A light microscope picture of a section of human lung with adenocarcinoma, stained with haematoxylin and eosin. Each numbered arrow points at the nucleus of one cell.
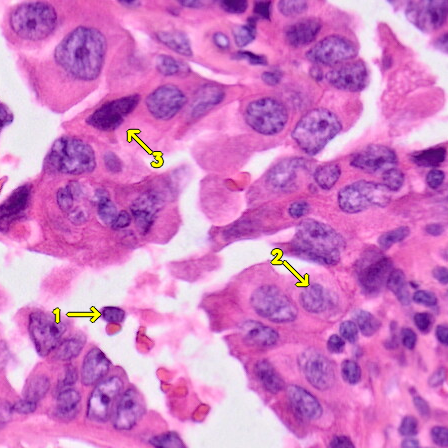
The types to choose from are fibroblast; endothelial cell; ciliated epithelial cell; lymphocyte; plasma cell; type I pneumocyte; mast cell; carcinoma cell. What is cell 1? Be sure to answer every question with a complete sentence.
Marked with the number 1, this cell is a lymphocyte.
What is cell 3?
Among the marked nuclei, number 3 belongs to a carcinoma cell.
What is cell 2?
The nucleus labelled 2 belongs to a carcinoma cell.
